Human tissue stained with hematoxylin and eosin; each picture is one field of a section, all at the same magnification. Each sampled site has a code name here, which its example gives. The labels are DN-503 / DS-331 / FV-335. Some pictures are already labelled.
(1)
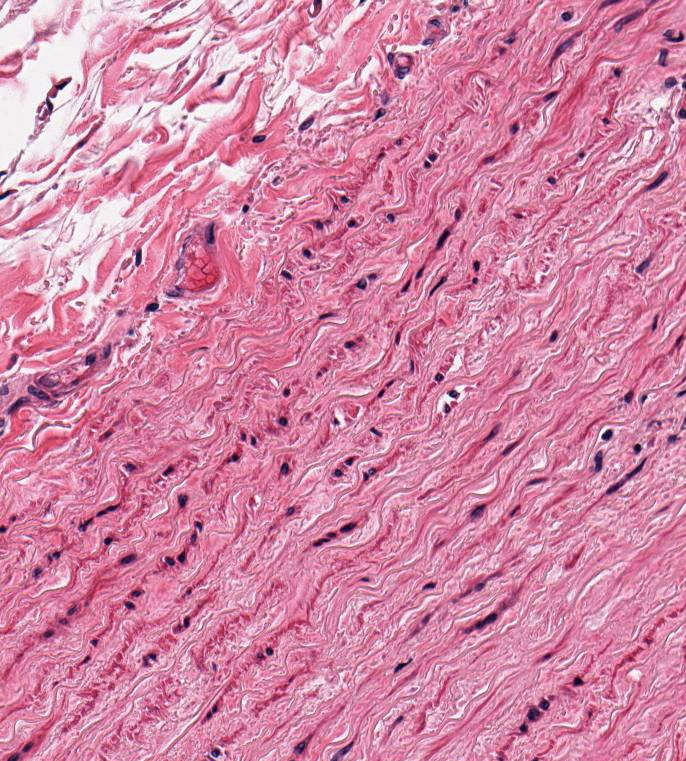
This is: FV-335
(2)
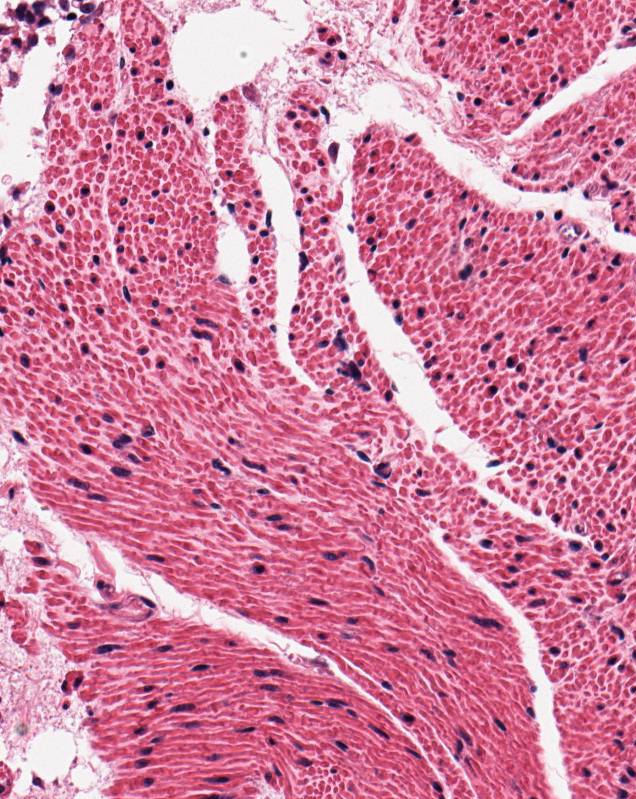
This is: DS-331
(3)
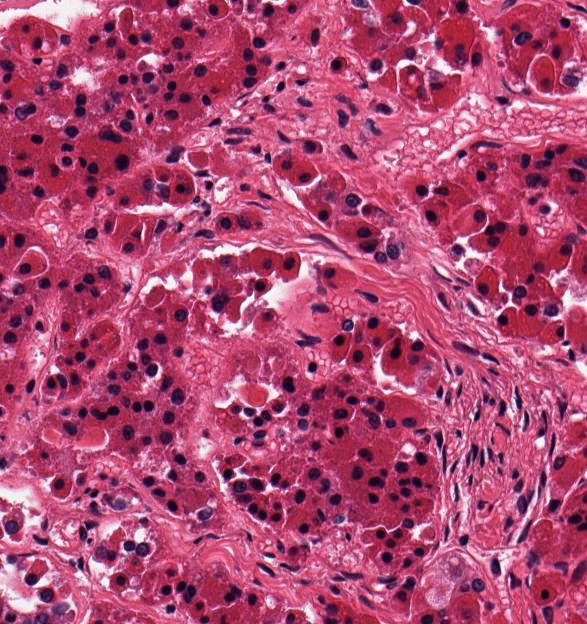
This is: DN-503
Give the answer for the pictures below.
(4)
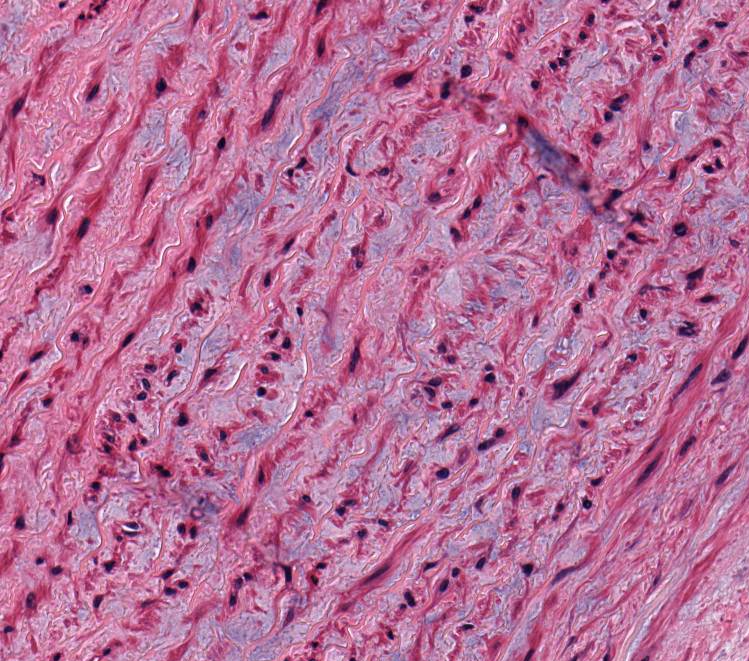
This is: FV-335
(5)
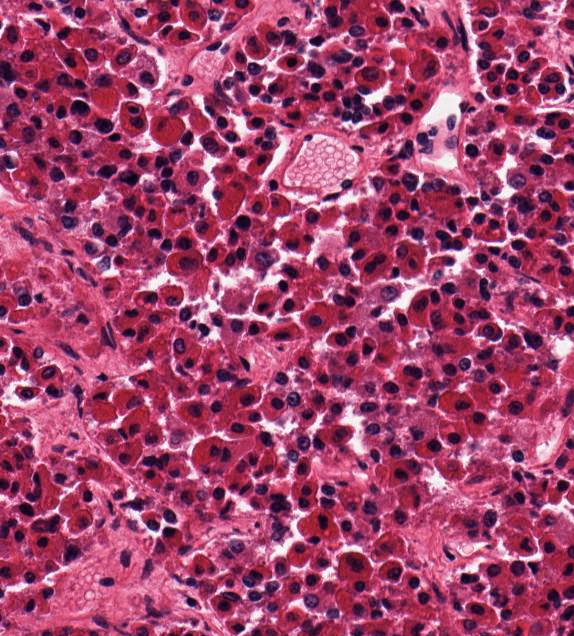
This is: DN-503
